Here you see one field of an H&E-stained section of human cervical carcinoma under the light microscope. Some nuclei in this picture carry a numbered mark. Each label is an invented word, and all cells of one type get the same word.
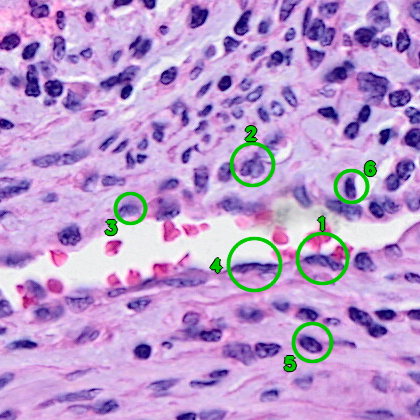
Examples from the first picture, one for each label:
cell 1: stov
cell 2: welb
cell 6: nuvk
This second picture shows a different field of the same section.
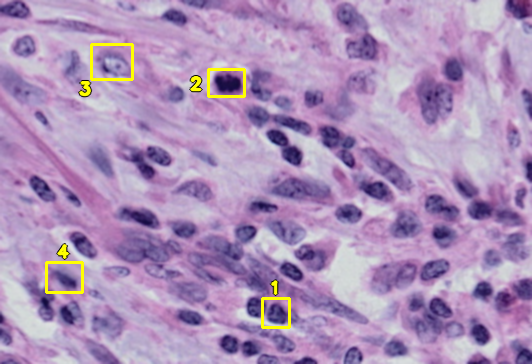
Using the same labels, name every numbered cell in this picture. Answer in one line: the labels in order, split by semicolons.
nuvk; nuvk; stov; nuvk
